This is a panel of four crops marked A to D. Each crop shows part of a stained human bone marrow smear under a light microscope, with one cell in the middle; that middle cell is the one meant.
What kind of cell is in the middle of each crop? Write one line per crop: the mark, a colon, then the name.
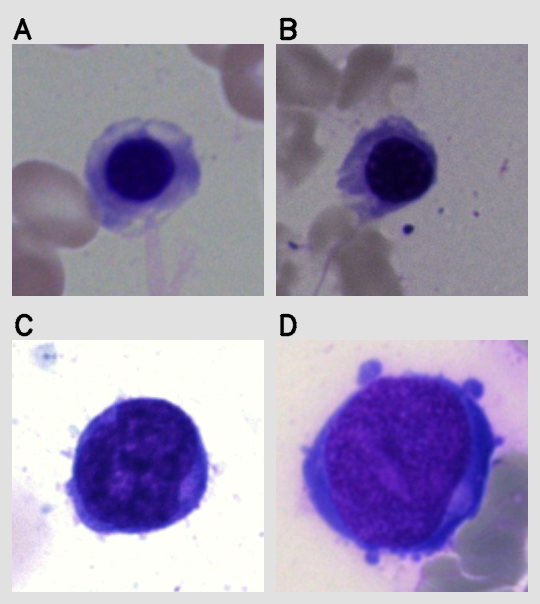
A: normoblast
B: normoblast
C: blast
D: blast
